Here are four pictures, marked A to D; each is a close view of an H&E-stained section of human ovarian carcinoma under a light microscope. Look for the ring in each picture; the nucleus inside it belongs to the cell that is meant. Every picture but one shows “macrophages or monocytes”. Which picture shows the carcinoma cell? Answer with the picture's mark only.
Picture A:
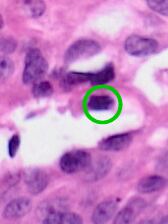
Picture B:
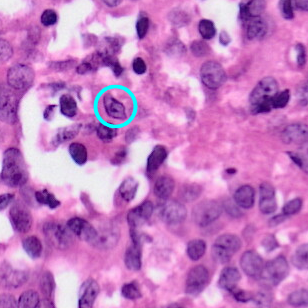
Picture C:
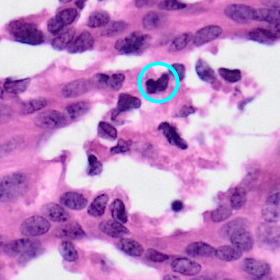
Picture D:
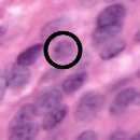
A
